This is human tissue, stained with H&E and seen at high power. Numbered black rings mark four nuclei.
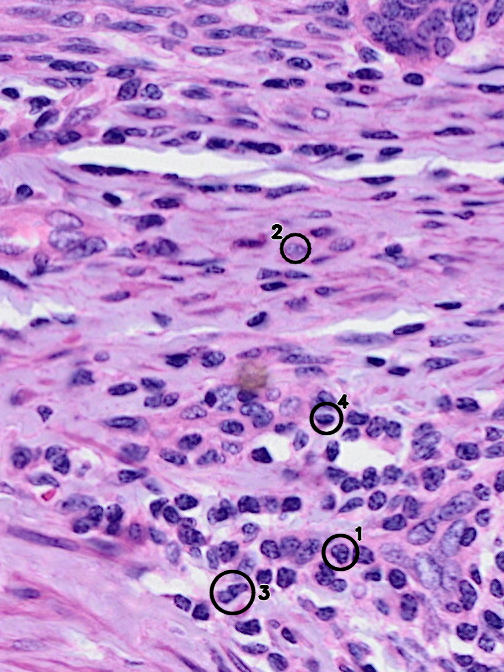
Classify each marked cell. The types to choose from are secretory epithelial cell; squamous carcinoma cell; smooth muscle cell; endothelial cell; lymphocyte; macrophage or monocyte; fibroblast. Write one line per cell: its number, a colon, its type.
1: lymphocyte
2: smooth muscle cell
3: lymphocyte
4: lymphocyte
